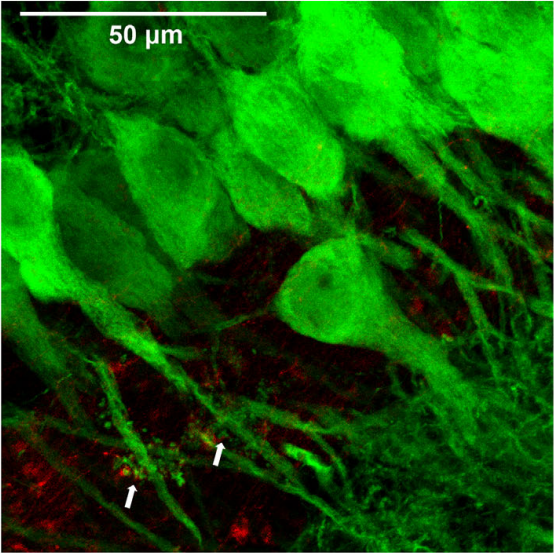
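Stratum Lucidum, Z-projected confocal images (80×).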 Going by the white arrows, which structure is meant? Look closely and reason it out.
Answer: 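Thorny excrescences. The arrows point to small clustered green swellings on thin dendrites in the lower part of the image. Red puncta lie close to these swellings.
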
